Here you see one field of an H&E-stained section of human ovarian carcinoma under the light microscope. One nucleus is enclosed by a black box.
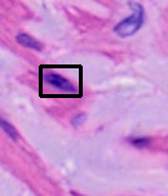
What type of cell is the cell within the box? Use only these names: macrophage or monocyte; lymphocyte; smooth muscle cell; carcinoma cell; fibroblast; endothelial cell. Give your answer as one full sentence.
Speaking plainly, the cell within the box is nothing other than a smooth muscle cell.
